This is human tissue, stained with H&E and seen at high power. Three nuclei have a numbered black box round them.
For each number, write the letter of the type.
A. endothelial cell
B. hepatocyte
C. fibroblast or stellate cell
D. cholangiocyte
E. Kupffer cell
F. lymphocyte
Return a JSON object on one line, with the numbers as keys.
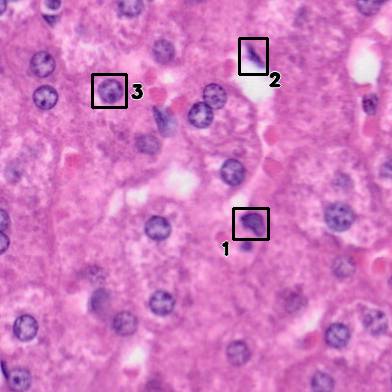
{"1": "E", "2": "A", "3": "B"}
